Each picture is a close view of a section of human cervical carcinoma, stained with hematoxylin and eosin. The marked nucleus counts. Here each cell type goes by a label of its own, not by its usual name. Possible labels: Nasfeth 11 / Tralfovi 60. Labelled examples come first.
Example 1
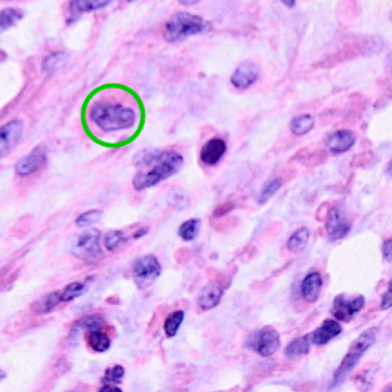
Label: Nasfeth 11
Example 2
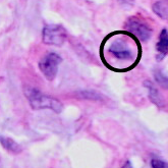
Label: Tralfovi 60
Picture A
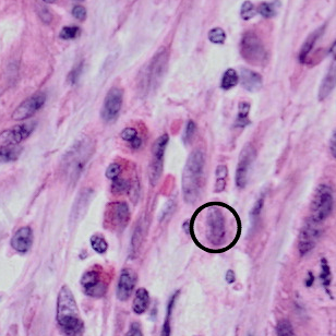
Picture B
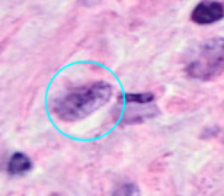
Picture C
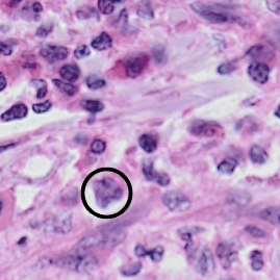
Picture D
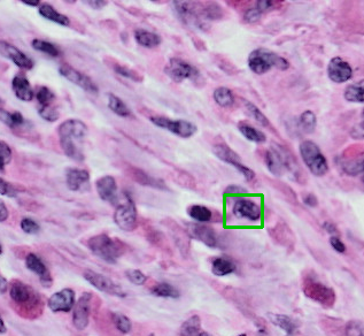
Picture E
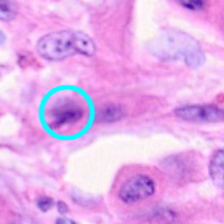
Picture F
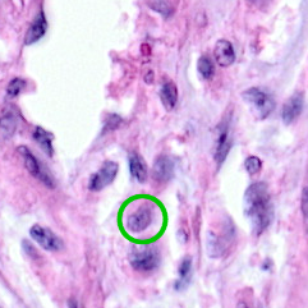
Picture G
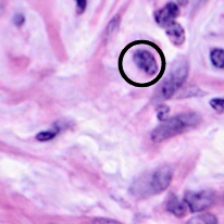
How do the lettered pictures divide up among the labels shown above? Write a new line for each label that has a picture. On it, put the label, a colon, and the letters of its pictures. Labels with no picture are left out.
Nasfeth 11: A, B, C, E, F
Tralfovi 60: D, G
